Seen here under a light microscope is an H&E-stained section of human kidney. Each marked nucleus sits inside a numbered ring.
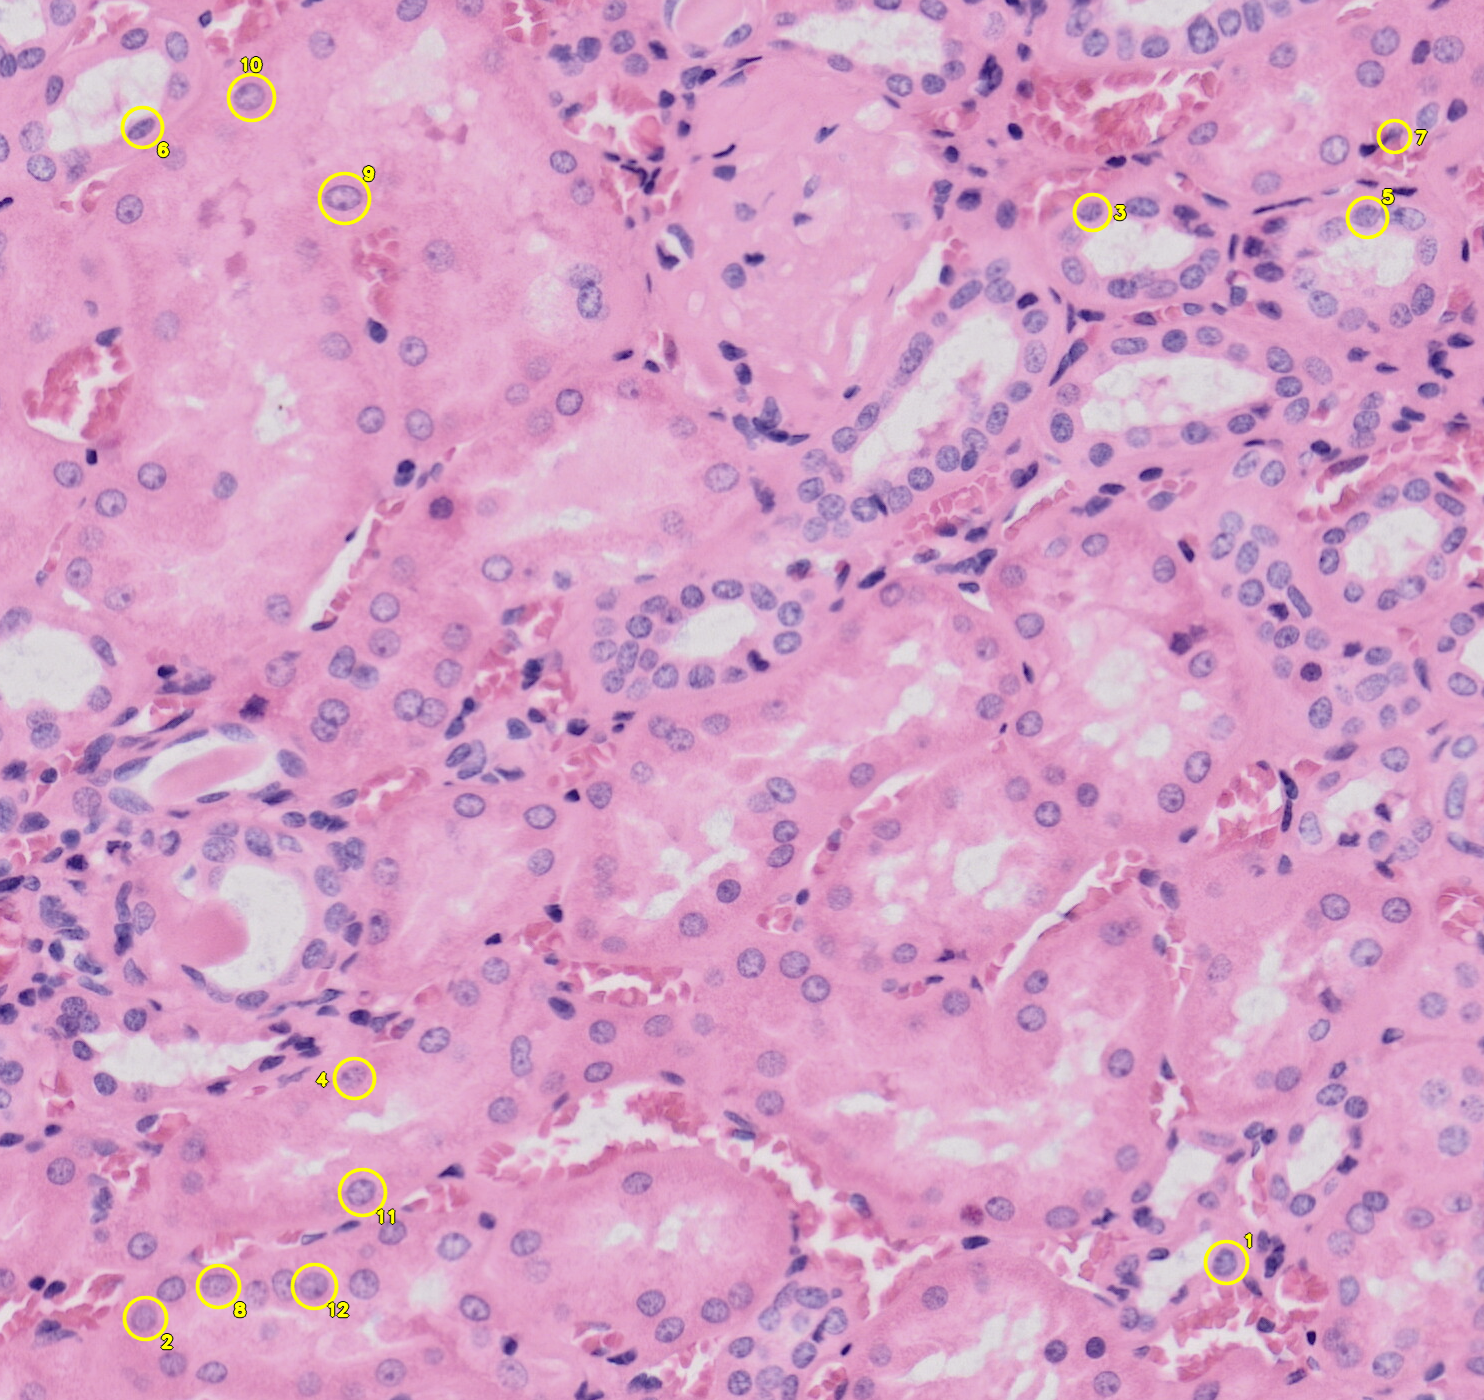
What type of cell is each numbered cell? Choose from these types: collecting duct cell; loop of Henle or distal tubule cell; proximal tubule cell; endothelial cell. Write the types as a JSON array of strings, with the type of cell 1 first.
["collecting duct cell", "proximal tubule cell", "collecting duct cell", "proximal tubule cell", "collecting duct cell", "loop of Henle or distal tubule cell", "endothelial cell", "proximal tubule cell", "proximal tubule cell", "proximal tubule cell", "proximal tubule cell", "proximal tubule cell"]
